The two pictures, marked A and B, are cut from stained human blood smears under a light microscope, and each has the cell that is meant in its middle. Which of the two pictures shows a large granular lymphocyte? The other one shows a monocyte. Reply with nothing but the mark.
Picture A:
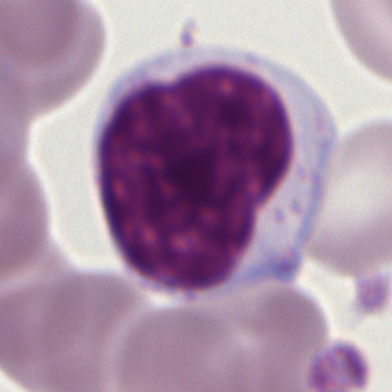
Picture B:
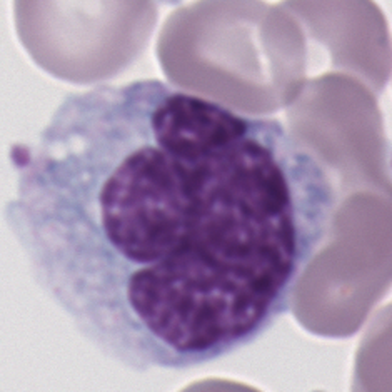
A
